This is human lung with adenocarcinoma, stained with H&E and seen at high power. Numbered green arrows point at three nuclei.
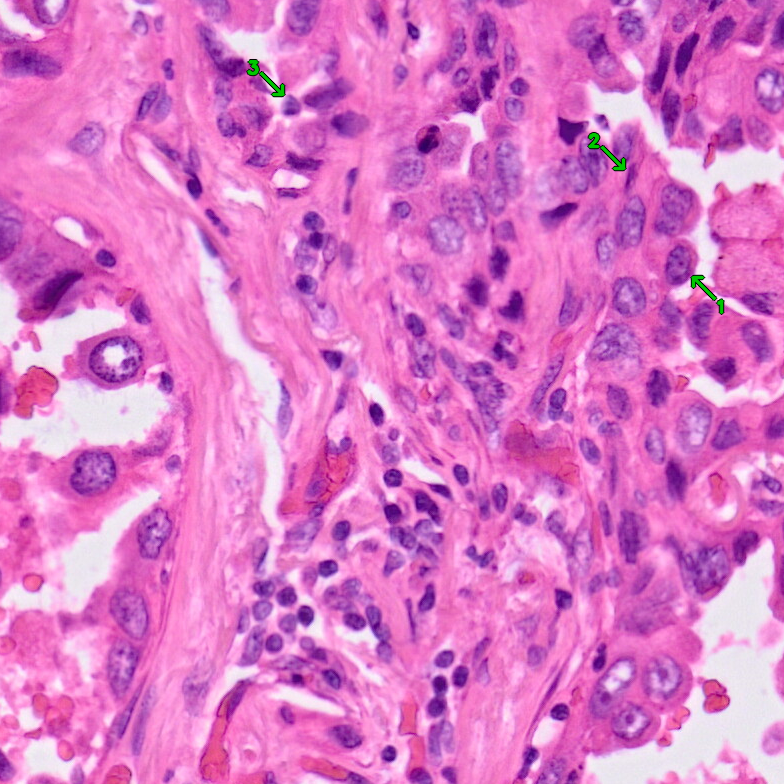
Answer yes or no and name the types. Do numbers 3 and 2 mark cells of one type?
No, cell 3 is a lymphocyte and cell 2 is a carcinoma cell.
